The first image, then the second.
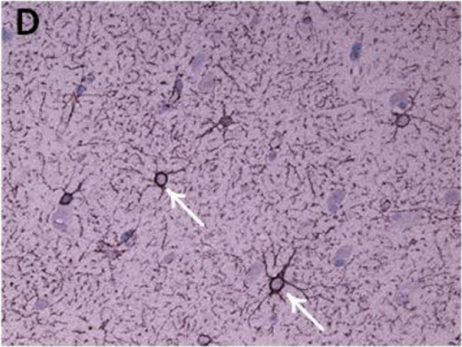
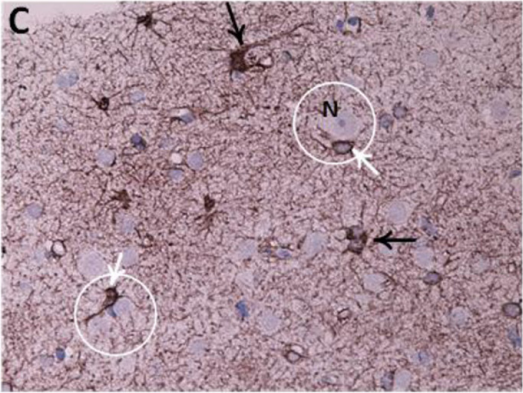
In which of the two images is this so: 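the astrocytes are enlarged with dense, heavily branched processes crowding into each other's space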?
the second image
